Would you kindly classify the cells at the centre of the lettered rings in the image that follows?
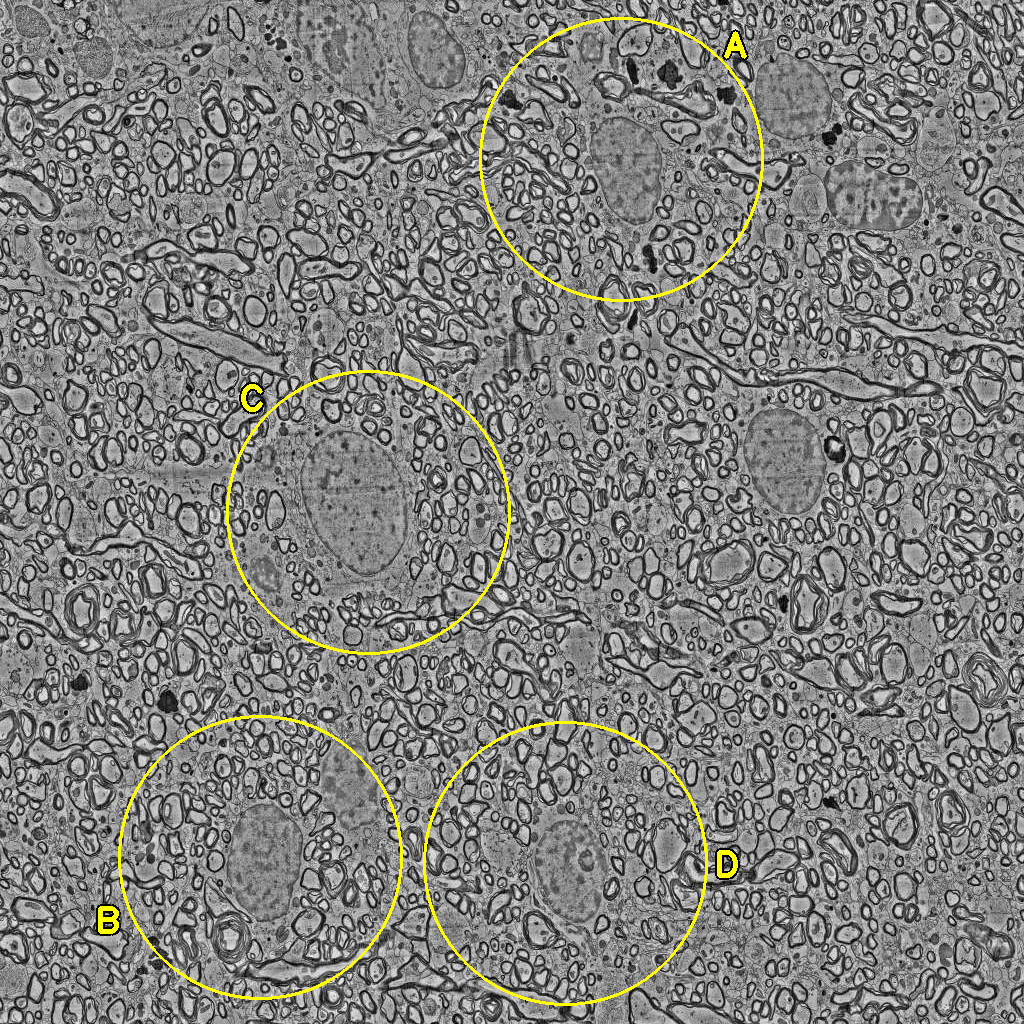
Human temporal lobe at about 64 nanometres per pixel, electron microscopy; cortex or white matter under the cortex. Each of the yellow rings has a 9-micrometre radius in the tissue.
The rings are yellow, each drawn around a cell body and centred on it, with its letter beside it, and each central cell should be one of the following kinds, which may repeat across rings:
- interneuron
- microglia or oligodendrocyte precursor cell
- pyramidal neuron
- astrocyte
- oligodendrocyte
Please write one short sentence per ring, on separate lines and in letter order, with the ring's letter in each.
The kind of cell at the centre of ring A is an oligodendrocyte.
The kind of cell at the centre of ring B is an oligodendrocyte.
The kind of cell at the centre of ring C is an astrocyte.
The kind of cell at the centre of ring D is an oligodendrocyte.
